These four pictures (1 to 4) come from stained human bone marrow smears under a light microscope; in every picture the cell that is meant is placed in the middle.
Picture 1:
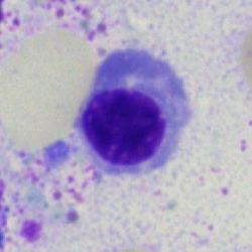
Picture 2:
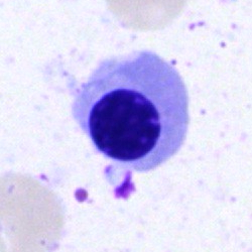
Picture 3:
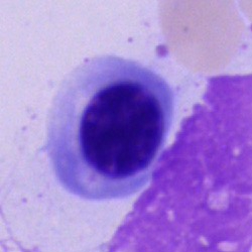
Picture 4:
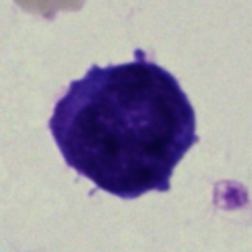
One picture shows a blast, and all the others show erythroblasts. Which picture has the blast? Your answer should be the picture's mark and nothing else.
4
